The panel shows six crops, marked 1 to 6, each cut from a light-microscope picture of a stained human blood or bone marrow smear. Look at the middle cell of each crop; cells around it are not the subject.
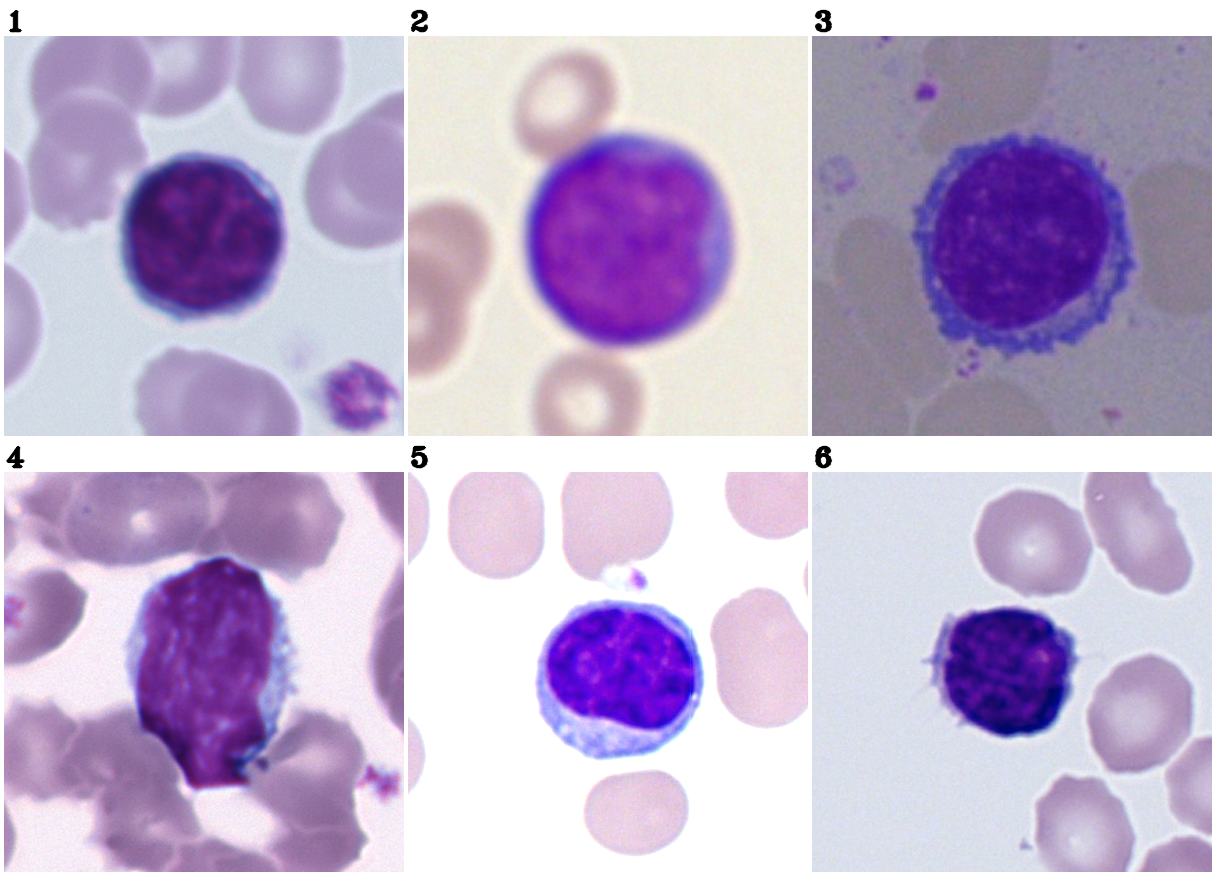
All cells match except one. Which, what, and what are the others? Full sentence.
Crop 2 is the one that is a blast, and the other crops all show lymphocytes.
